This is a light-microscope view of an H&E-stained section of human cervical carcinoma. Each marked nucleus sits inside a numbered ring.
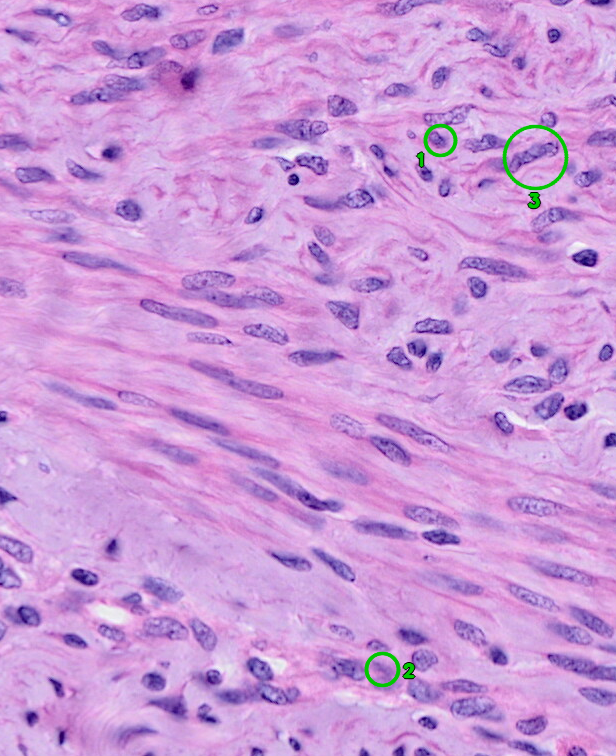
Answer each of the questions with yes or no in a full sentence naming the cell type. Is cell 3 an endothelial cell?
No, number 3 belongs to a smooth muscle cell, not to an endothelial cell.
